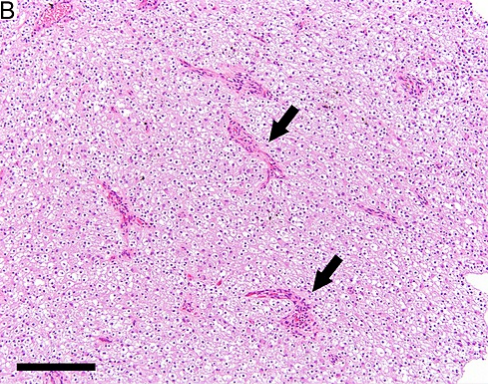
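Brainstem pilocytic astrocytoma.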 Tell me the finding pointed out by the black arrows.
Endothelial proliferation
